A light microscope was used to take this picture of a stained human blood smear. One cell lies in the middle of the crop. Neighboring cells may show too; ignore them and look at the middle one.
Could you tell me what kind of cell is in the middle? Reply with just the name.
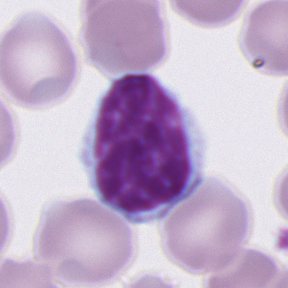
lymphocyte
